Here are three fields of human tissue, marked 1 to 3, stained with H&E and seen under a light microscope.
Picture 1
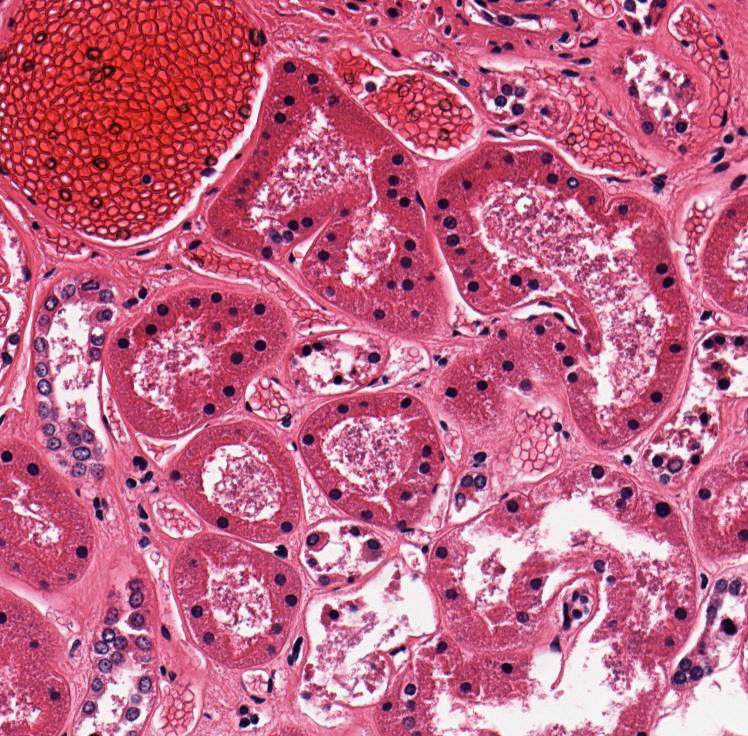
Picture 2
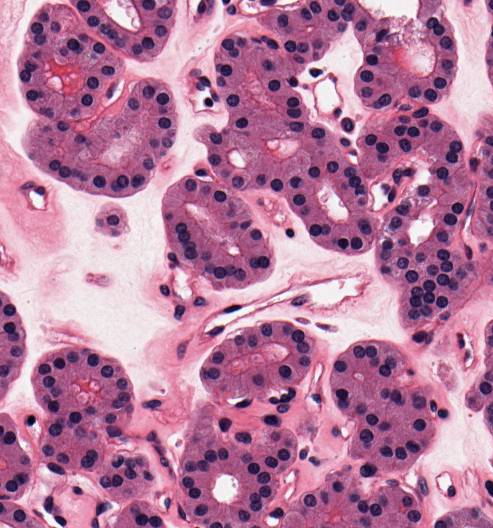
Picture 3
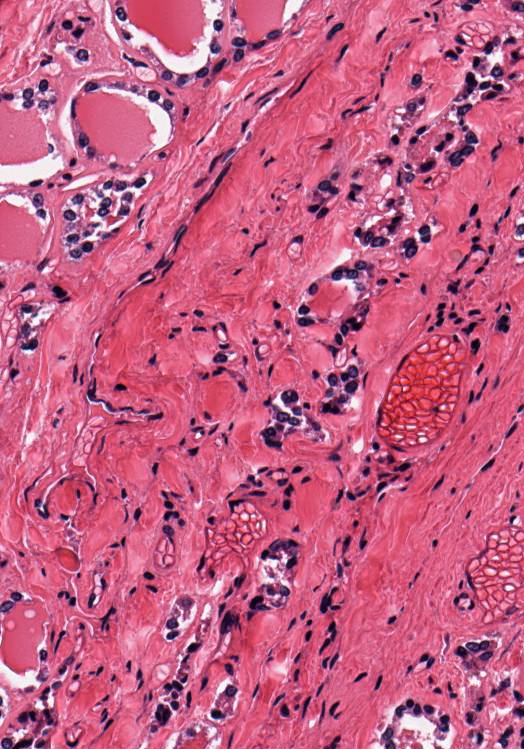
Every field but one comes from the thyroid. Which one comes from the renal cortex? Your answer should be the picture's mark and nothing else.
1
